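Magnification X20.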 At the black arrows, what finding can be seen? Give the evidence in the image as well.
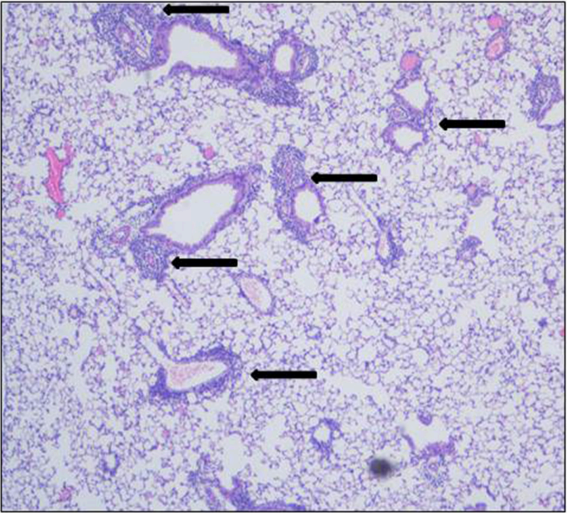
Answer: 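Infiltration of inflammatory cells around bronchioles and blood vessel. Dense cuffs of small dark purple nuclei surround several airways and vessels. The arrows point at these dark cellular cuffs. The surrounding alveolar tissue is thin-walled and lacy.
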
